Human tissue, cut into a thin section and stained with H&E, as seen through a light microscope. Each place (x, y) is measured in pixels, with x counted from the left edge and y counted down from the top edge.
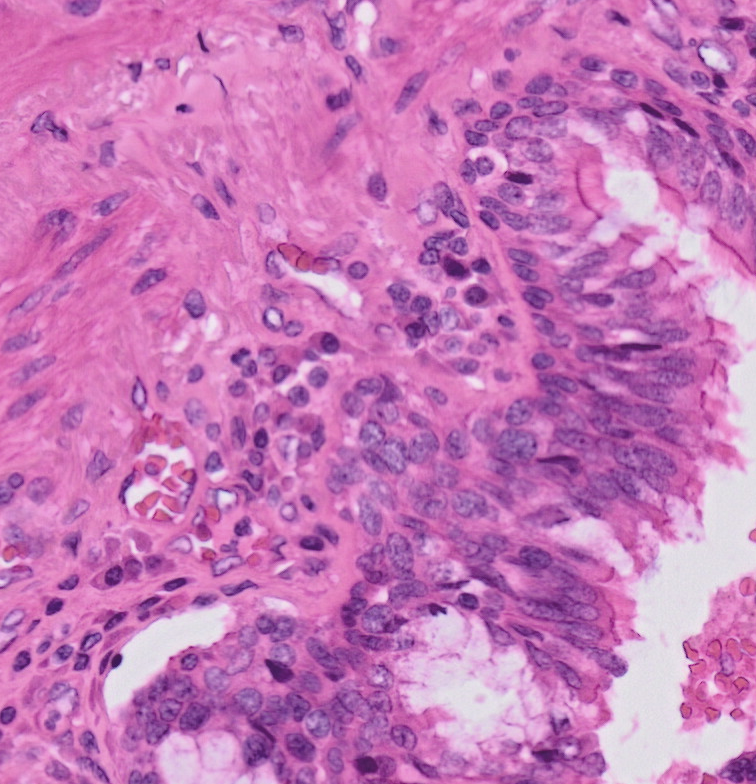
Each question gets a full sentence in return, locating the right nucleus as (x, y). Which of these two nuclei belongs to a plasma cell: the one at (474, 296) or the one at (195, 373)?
The nucleus at (474, 296) is part of a plasma cell, while the other is not.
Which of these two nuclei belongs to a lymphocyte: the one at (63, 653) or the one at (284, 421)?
The nucleus of a lymphocyte is the one found at (63, 653), not the other.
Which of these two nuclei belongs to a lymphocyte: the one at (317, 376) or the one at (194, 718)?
The nucleus at (317, 376) is attributed to a lymphocyte, unlike the other nucleus.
